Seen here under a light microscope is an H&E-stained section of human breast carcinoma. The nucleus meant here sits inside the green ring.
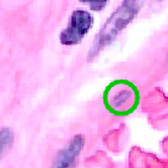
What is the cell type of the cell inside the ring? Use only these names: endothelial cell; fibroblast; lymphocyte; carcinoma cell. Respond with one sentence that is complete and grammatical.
What the cell inside the ring represents is an endothelial cell.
